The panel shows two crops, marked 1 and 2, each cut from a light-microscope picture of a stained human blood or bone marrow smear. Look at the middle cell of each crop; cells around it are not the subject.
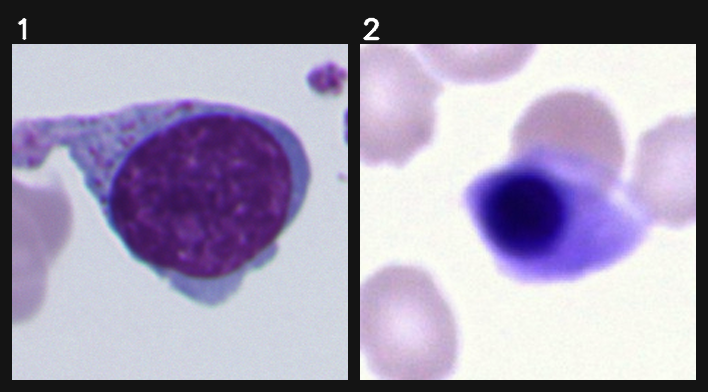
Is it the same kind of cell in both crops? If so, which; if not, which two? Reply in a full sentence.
No, a lymphocyte is shown in crop 1 and a normoblast in crop 2.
